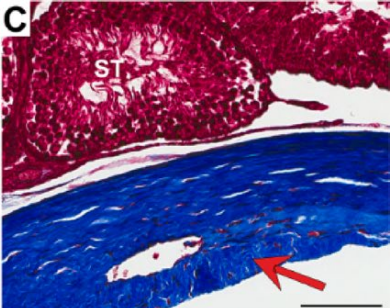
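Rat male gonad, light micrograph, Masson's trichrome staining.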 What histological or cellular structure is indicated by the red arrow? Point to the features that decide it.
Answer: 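A broad, dense blue-stained fibrous band with flattened nuclei runs along the edge of the organ. The band lies outside the tubule and contains a small vessel. On this evidence: tunica albuginea.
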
